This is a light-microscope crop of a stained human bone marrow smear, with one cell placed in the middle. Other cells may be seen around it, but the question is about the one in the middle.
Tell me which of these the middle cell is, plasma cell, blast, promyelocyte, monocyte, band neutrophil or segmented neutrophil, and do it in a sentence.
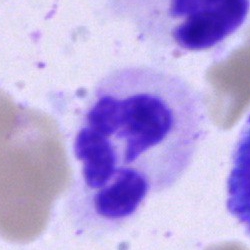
In the central position of this crop, the cell is a segmented neutrophil.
